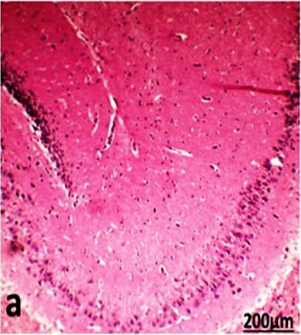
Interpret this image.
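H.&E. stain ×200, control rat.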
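Hippocampal tissue showing curved bands of closely packed purple-staining neuronal nuclei against pale pink neuropil. The neuropil between them holds only sparse small nuclei and a few thin vessels.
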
